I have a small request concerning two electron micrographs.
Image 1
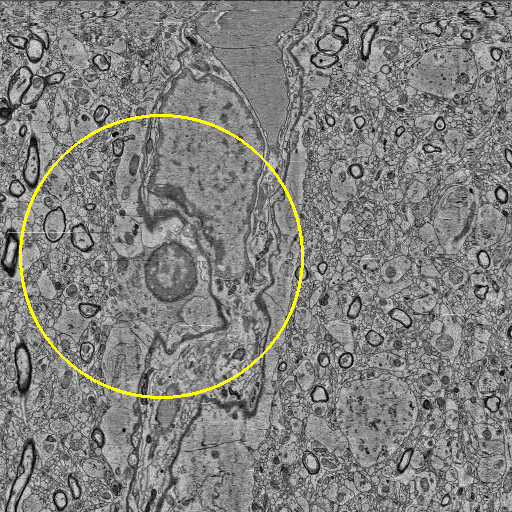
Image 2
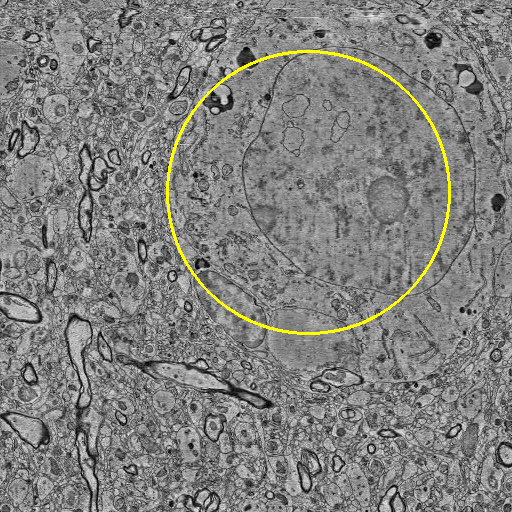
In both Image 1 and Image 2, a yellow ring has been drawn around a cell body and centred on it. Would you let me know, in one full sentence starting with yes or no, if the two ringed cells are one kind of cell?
No, the cells ringed in Image 1 and Image 2 are two kinds of cell.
